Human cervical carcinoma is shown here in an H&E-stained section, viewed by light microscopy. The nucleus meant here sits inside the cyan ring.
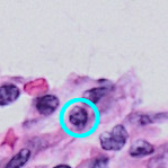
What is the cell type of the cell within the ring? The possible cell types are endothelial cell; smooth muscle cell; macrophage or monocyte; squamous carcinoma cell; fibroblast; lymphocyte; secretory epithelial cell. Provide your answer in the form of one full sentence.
The identity of the cell within the ring: it is a lymphocyte.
